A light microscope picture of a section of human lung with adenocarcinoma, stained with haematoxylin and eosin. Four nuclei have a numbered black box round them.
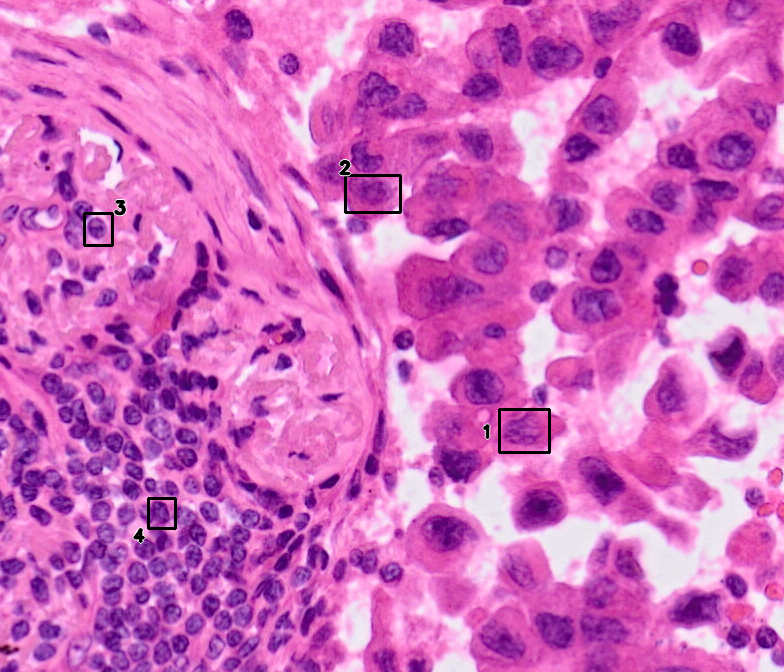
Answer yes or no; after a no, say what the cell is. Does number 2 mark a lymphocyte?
No, it is a carcinoma cell.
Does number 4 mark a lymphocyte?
Yes.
